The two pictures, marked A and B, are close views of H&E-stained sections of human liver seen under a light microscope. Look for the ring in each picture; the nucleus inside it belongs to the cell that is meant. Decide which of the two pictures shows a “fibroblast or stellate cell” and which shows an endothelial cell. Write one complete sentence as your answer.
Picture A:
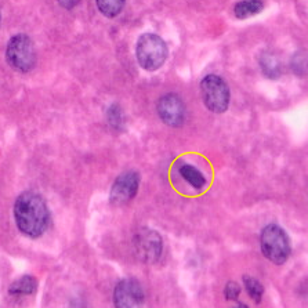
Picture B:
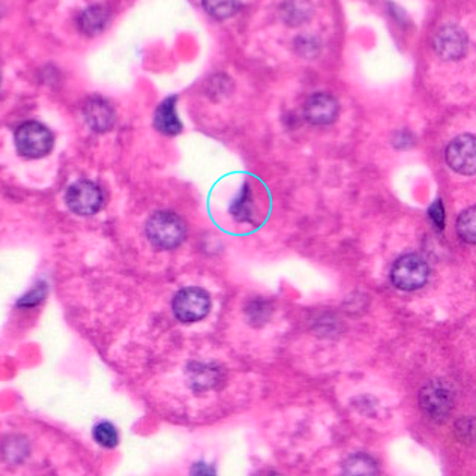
The cell in picture A is a “fibroblast or stellate cell”, and the one in picture B is an endothelial cell.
